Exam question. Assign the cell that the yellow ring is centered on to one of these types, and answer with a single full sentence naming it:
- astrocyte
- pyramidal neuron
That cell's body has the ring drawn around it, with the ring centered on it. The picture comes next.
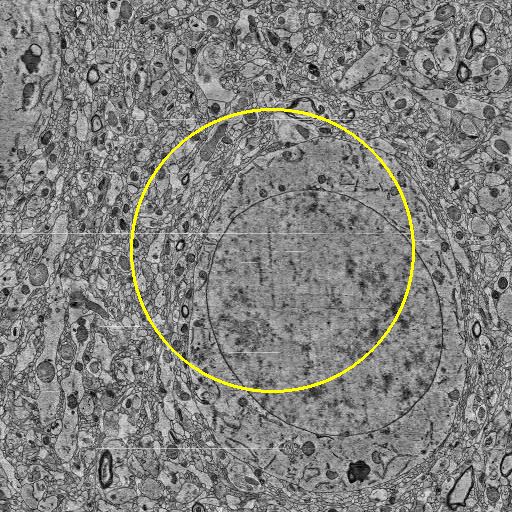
In the micrograph, the cell the yellow ring is centered on is a pyramidal neuron.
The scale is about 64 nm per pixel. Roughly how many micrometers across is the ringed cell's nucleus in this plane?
About 17 micrometres by about 14 micrometres in this plane.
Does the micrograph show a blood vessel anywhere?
No, none shows.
